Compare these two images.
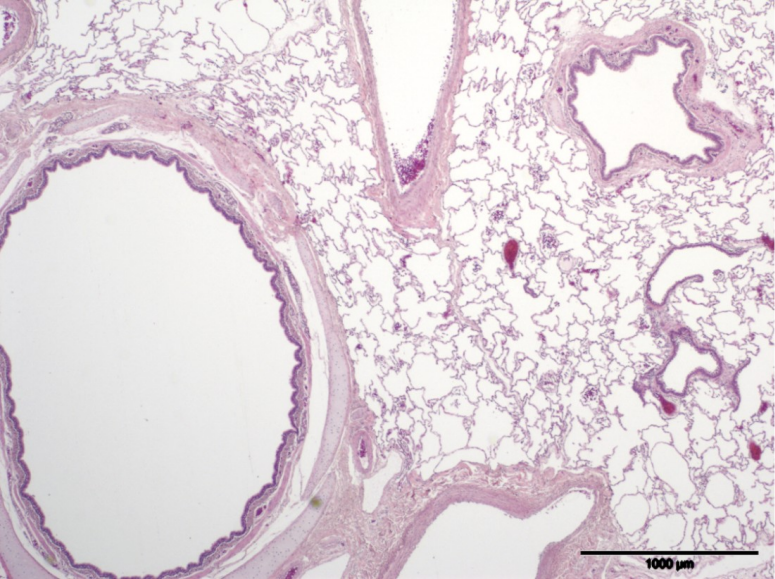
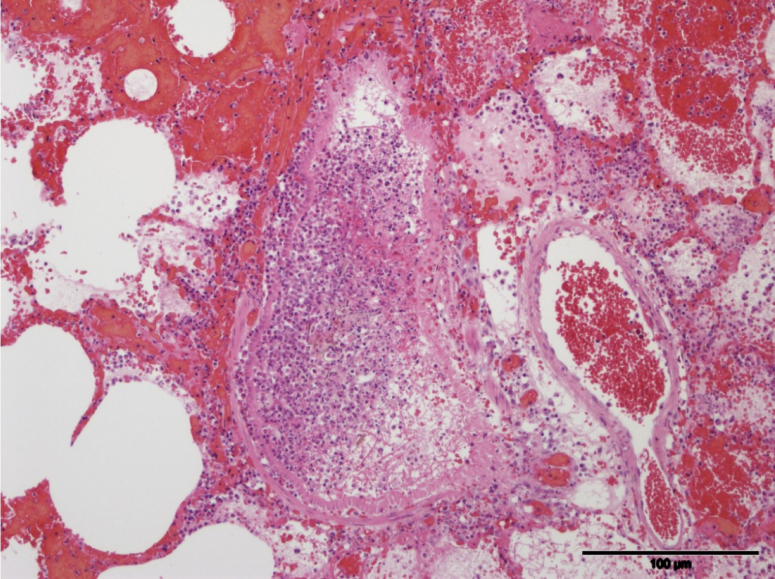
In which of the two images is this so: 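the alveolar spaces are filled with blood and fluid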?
the second image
